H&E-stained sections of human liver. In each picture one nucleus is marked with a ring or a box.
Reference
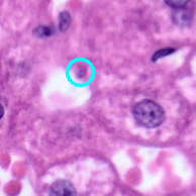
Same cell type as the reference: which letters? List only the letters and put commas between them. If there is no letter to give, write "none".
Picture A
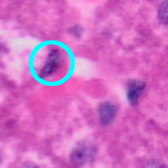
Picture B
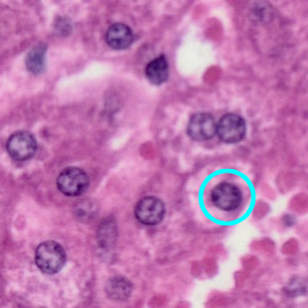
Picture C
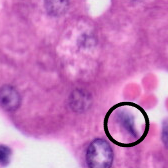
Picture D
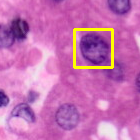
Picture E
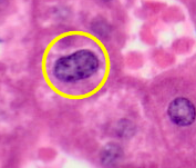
none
